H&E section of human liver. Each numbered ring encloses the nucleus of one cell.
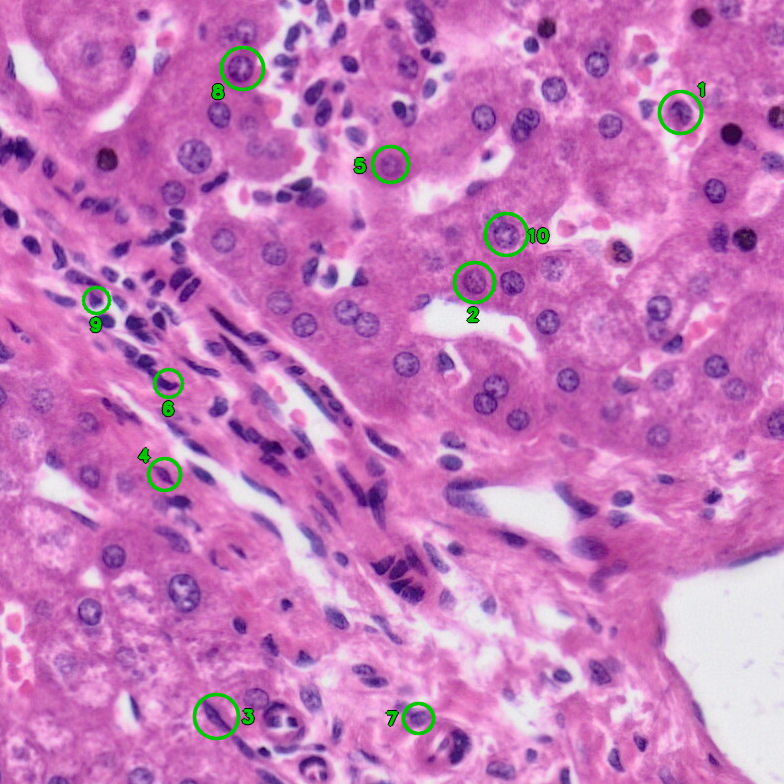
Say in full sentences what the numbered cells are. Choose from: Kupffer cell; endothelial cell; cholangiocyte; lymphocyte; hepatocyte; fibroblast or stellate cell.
Cell 1 is a Kupffer cell, cell 2 is a hepatocyte, cell 3 is a fibroblast or stellate cell, cell 4 is a fibroblast or stellate cell, cell 5 is a hepatocyte, cell 6 is a fibroblast or stellate cell, cell 7 is a fibroblast or stellate cell, cell 8 is a hepatocyte, cell 9 is a fibroblast or stellate cell and cell 10 is a hepatocyte.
